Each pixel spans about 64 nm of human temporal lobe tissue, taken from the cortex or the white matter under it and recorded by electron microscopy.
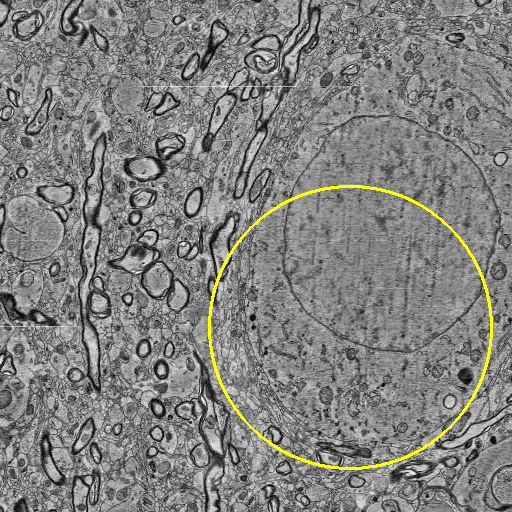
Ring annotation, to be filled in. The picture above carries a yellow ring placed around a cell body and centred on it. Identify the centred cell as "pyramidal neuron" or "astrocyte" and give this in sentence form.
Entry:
The cell in the middle of the ring is a pyramidal neuron.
